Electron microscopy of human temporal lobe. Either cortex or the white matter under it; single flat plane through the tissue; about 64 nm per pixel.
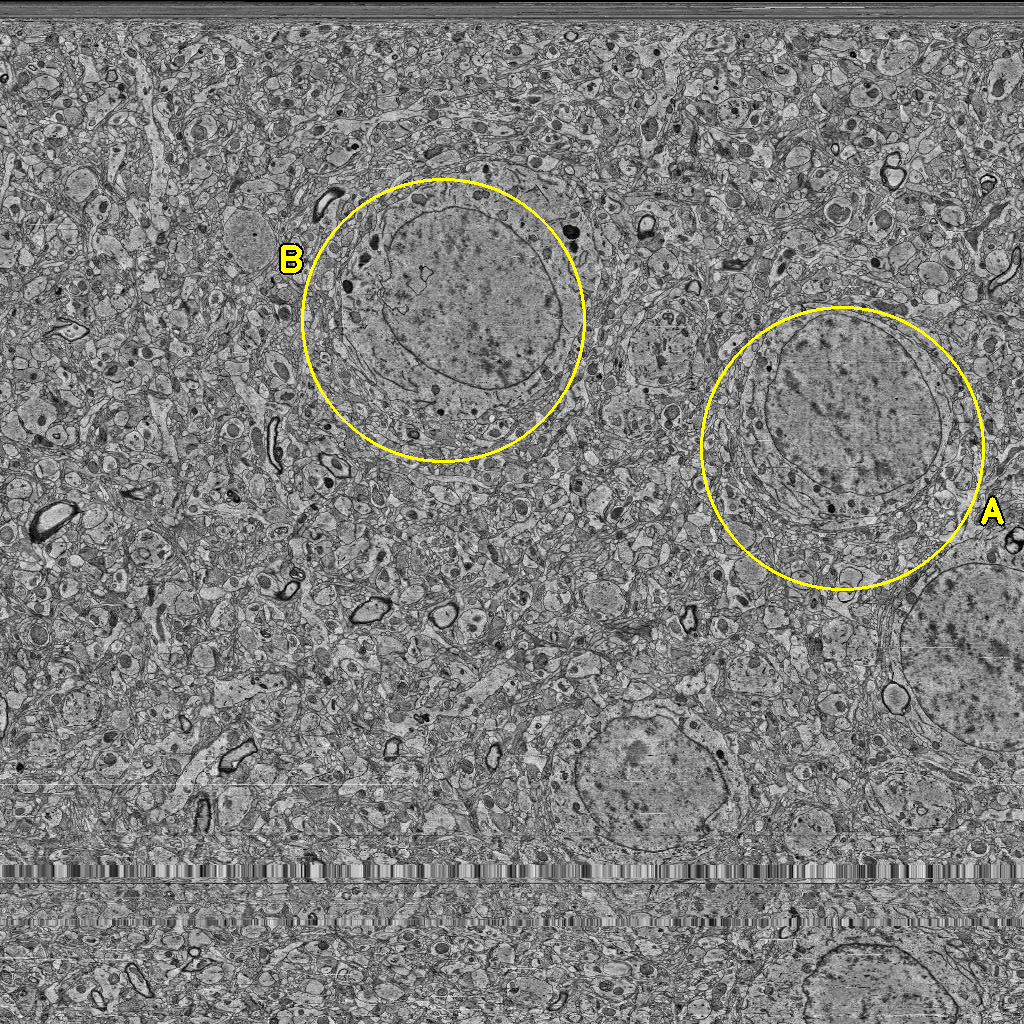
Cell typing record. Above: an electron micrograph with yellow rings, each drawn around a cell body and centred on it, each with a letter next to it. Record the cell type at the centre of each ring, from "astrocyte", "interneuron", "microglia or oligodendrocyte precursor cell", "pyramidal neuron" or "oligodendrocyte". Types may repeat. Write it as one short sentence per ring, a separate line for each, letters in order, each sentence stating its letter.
Ring A circles a pyramidal neuron.
Ring B circles a pyramidal neuron.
